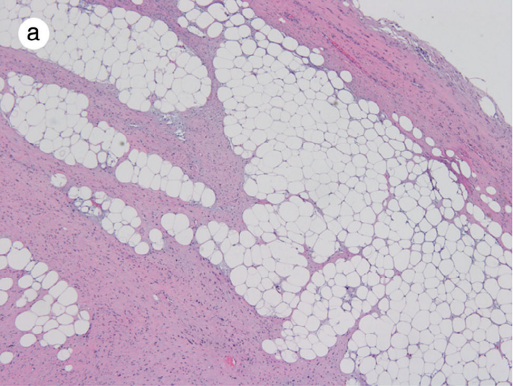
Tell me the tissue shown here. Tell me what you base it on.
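Lobules of empty round fat cells. Bands of pink fibrous stroma between and beside the fat lobules. That points to this answer: adipose tissue and a fibrotic area.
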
